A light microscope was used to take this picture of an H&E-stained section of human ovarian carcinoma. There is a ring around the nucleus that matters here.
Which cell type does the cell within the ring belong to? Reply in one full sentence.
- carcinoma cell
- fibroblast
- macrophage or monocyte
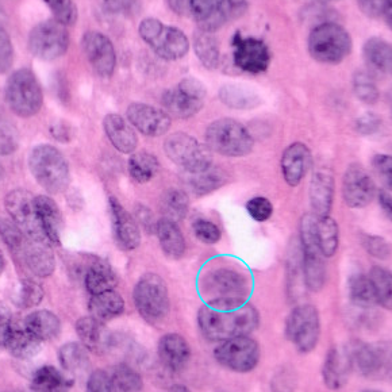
By cell type, the cell within the ring is a carcinoma cell.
